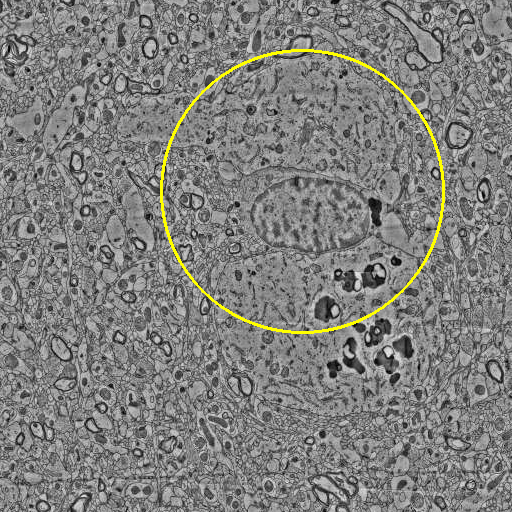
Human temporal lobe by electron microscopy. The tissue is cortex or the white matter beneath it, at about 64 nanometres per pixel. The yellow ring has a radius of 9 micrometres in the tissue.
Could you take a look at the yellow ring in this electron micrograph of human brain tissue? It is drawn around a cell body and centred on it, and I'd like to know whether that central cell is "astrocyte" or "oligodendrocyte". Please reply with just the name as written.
oligodendrocyte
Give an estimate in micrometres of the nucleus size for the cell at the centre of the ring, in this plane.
About 7 by 5 micrometres in this plane; clearly longer than it is wide.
